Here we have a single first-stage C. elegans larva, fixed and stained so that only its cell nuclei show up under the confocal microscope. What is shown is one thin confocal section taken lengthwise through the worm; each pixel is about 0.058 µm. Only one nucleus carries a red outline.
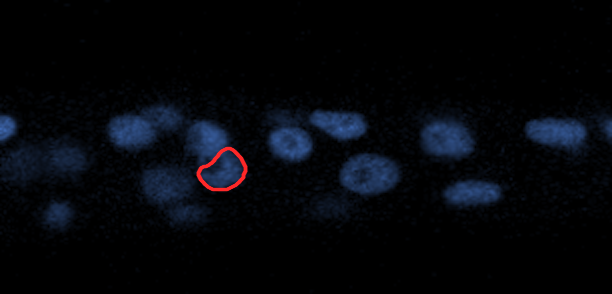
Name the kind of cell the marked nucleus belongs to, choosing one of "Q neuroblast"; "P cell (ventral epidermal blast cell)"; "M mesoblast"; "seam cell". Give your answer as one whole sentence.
It is the nucleus of an M mesoblast.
